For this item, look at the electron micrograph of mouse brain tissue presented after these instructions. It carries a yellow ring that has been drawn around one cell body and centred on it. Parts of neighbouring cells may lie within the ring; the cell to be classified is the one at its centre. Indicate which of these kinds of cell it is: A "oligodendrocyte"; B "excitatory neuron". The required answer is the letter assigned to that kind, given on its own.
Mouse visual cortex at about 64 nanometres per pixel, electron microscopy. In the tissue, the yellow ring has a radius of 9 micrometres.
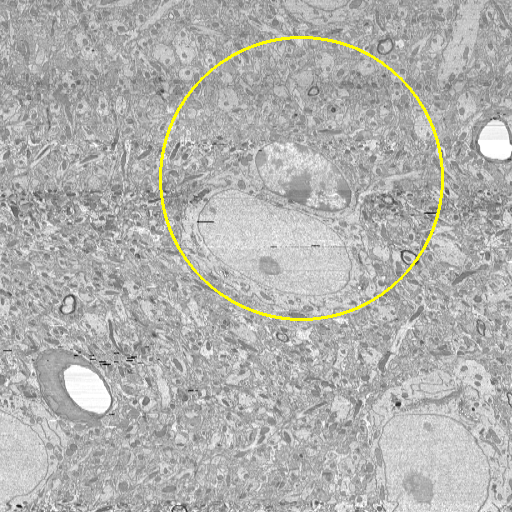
A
